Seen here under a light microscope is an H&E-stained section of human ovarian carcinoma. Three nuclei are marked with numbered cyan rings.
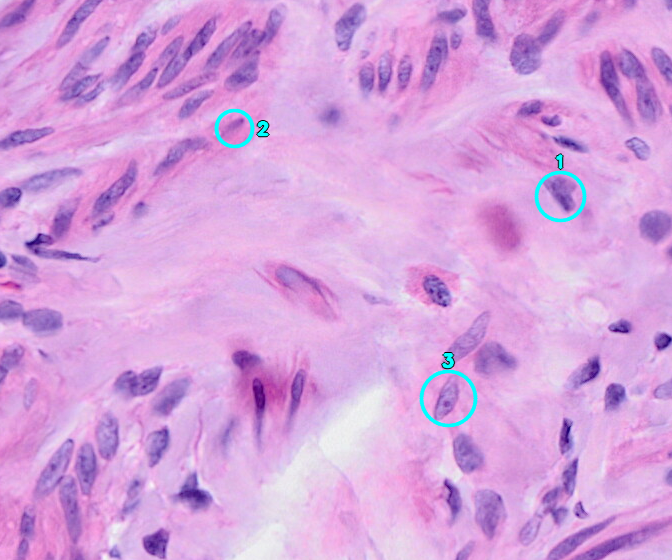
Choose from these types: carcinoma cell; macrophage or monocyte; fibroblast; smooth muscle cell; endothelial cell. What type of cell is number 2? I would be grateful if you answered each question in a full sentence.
The cell marked with the number 2 is a smooth muscle cell.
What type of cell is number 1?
Marked with the number 1, this cell is a fibroblast.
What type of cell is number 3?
The numbered cell 3 is identified here as a smooth muscle cell.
